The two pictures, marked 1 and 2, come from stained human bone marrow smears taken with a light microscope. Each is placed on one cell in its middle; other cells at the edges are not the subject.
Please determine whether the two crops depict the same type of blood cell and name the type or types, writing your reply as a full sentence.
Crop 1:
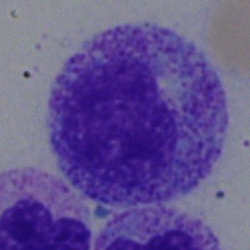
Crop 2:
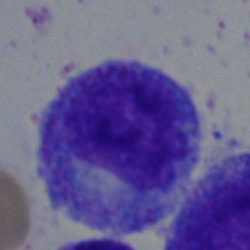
Yes, the two crops show myelocytes, both of them.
